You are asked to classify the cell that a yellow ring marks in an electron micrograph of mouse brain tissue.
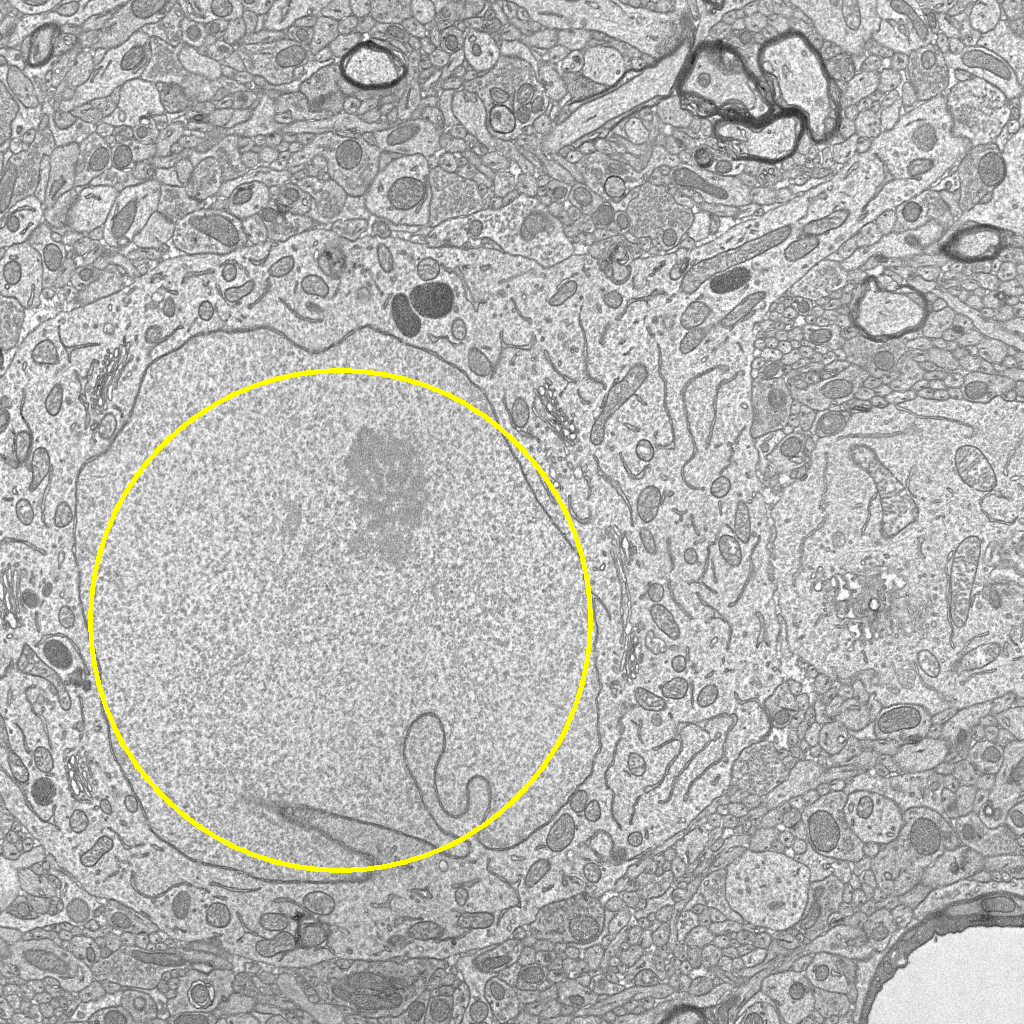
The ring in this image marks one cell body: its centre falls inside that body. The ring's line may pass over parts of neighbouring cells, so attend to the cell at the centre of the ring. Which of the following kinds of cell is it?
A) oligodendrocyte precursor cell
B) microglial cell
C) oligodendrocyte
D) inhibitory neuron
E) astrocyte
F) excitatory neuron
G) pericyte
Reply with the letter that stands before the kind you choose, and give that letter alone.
D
